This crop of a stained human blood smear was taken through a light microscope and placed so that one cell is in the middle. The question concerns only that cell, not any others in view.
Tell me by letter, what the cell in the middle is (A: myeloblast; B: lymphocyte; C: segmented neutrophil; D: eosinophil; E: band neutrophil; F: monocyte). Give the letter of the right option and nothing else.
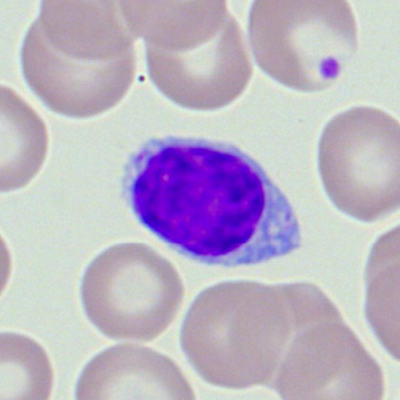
B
